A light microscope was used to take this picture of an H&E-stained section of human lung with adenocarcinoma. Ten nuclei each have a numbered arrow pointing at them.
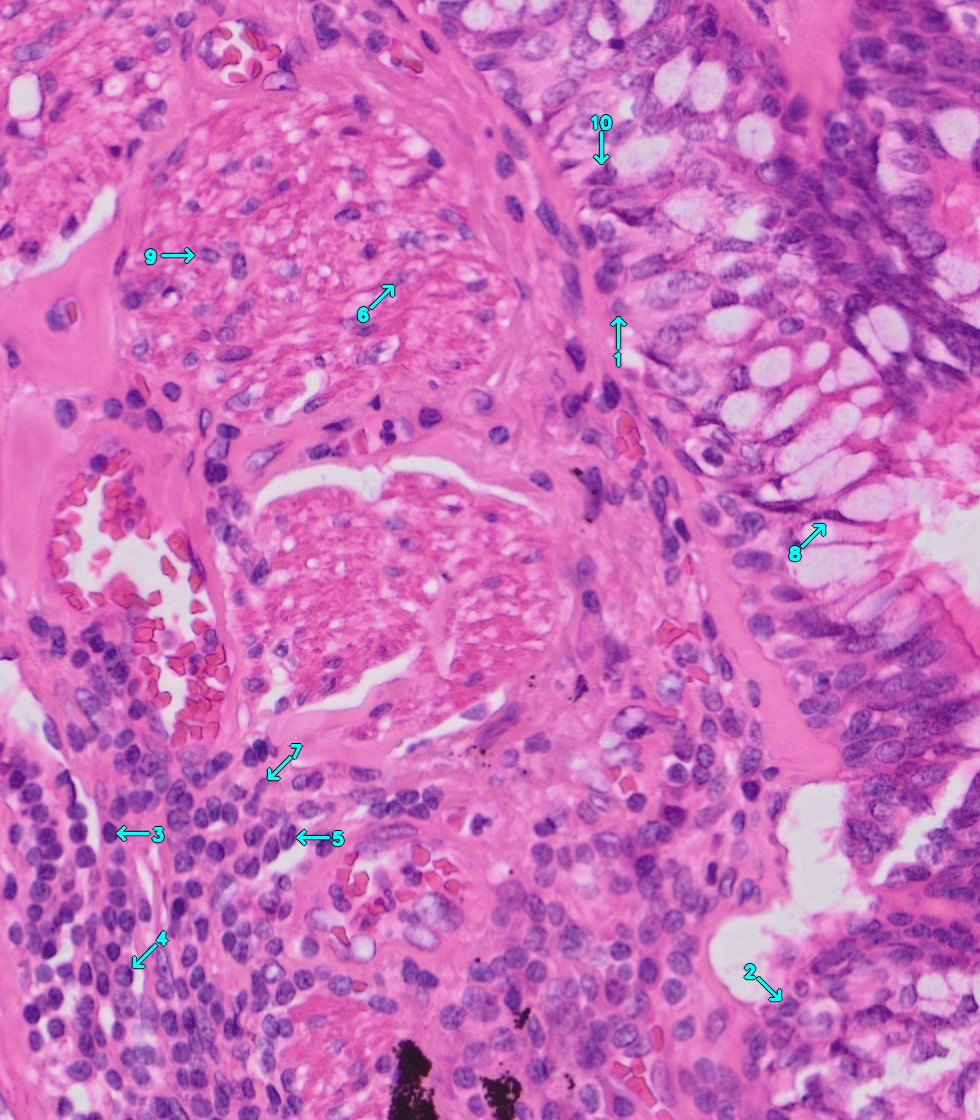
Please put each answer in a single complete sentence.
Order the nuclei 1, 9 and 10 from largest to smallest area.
By area, largest first, they run 10, 9, 1.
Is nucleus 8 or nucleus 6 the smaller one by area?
Number 6 is smaller, since number 8 takes up about 2 times as much area.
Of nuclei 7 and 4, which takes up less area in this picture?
Nucleus 7 is the smaller one; nucleus 4 covers about 2.5 times its area.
